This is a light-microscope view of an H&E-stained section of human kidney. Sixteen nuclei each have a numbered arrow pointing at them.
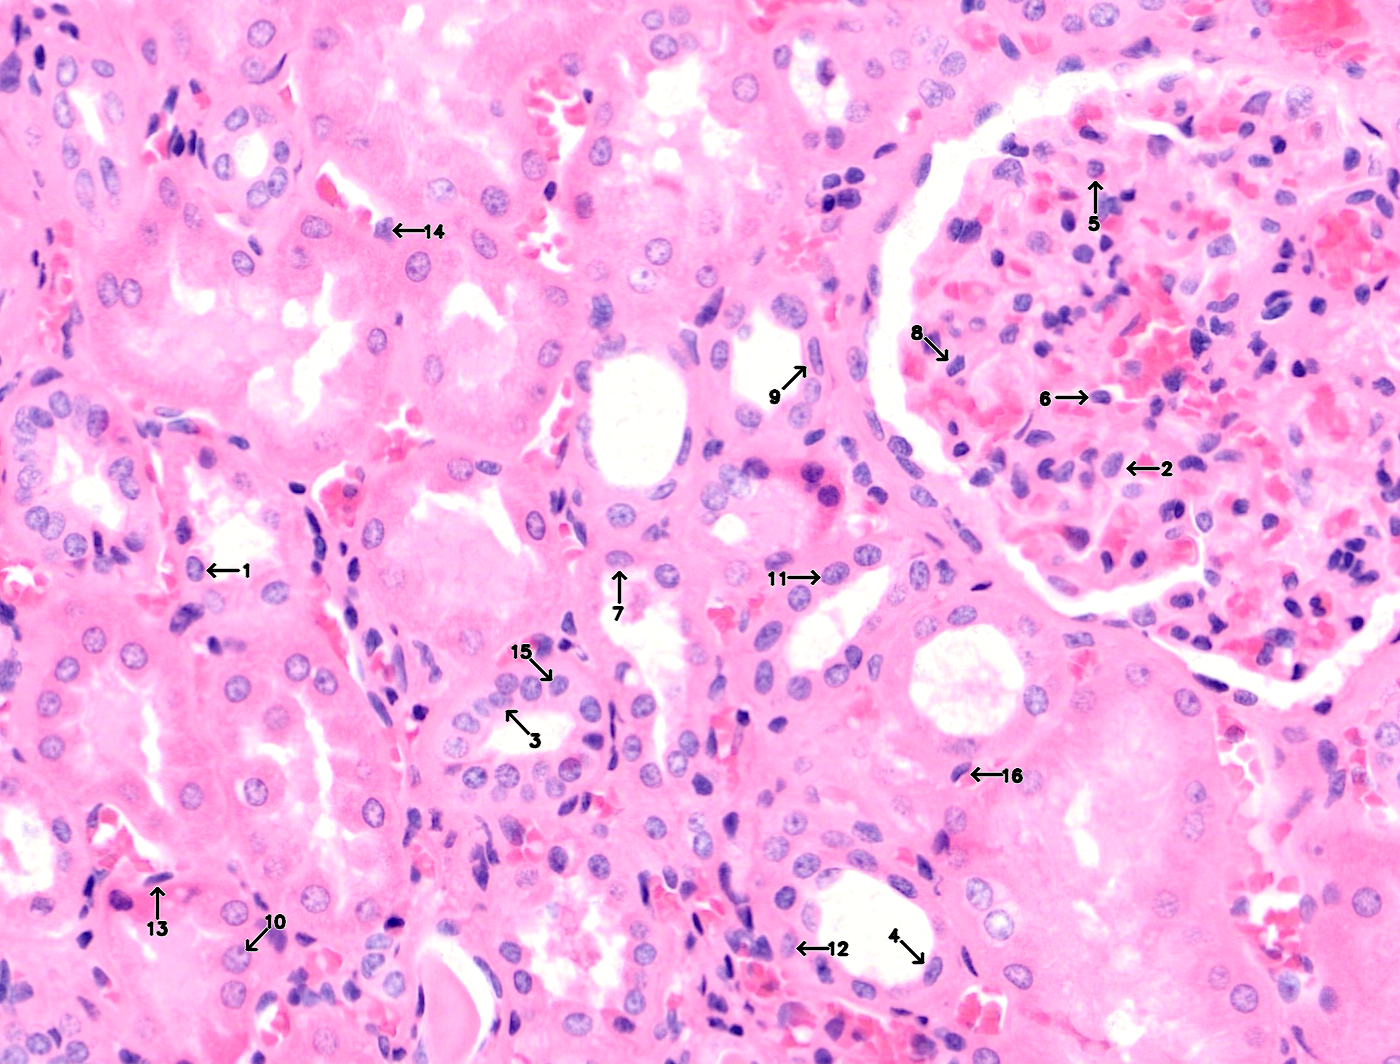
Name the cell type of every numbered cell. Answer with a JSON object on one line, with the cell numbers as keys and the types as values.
{"1": "loop of Henle or distal tubule cell", "2": "endothelial cell", "3": "collecting duct cell", "4": "loop of Henle or distal tubule cell", "5": "endothelial cell", "6": "endothelial cell", "7": "loop of Henle or distal tubule cell", "8": "endothelial cell", "9": "collecting duct cell", "10": "proximal tubule cell", "11": "collecting duct cell", "12": "loop of Henle or distal tubule cell", "13": "endothelial cell", "14": "endothelial cell", "15": "collecting duct cell", "16": "endothelial cell"}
